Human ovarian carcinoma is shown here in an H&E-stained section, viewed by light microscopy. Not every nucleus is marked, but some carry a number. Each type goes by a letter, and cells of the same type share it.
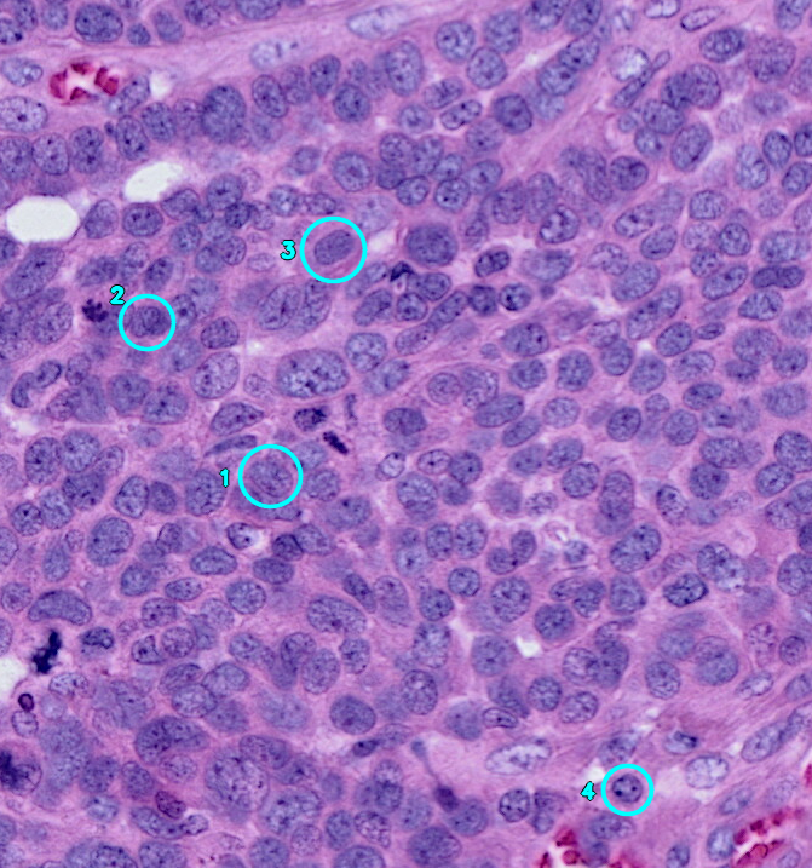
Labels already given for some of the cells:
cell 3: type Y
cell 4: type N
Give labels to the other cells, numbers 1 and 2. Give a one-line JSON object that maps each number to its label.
{"1": "type Y", "2": "type Y"}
